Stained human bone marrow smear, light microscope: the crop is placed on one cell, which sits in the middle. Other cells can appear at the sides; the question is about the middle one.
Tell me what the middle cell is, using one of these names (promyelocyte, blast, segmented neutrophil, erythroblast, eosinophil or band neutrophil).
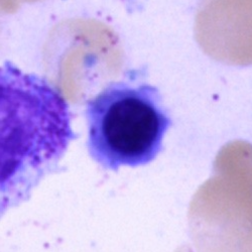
erythroblast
